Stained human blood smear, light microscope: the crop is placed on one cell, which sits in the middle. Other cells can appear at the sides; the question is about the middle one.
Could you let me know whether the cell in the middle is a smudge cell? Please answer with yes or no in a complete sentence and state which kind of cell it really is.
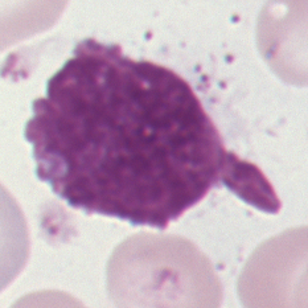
Yes, in this crop the cell in the middle is a smudge cell.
